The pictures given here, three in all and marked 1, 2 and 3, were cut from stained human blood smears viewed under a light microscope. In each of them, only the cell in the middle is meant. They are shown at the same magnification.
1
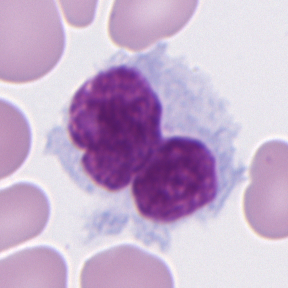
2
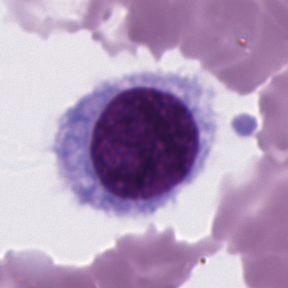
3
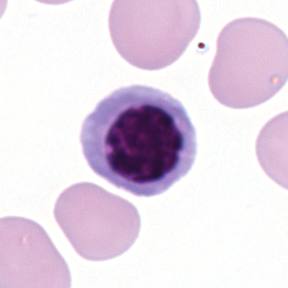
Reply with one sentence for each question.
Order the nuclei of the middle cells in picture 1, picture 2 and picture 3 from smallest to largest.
Smallest first: 3, 2, 1.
